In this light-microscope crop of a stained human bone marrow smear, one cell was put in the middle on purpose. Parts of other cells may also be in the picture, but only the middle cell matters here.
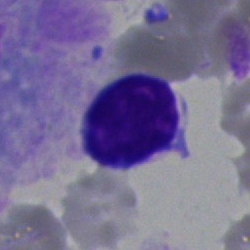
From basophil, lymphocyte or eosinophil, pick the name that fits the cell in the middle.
lymphocyte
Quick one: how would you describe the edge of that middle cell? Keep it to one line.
Around its whole circumference the outline stays smooth, free of projections.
